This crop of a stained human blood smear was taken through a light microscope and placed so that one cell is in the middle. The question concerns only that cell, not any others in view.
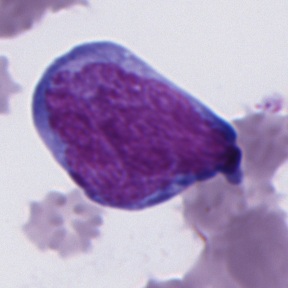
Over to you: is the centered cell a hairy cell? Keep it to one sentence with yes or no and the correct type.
No, at the centre of this crop is found a myeloblast instead of a hairy cell.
